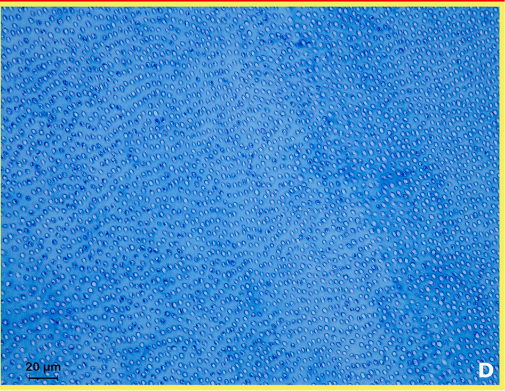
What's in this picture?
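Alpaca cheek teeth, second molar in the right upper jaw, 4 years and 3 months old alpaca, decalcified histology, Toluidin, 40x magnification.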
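Small pale tubule openings are scattered through a continuous deep-blue matrix, in curving rows, without the broad pale halos around them. Some openings contain a small dark-staining dot. This is secondary dentin, lacking peritubular dentin and rich in intertubular dentin. The dots inside some tubules are remnants of odontoblast processes.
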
